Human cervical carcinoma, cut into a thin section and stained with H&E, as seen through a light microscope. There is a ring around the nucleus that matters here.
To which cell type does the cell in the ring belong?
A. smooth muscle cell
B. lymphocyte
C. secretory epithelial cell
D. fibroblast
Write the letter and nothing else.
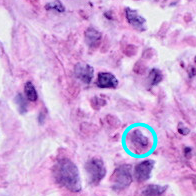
D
